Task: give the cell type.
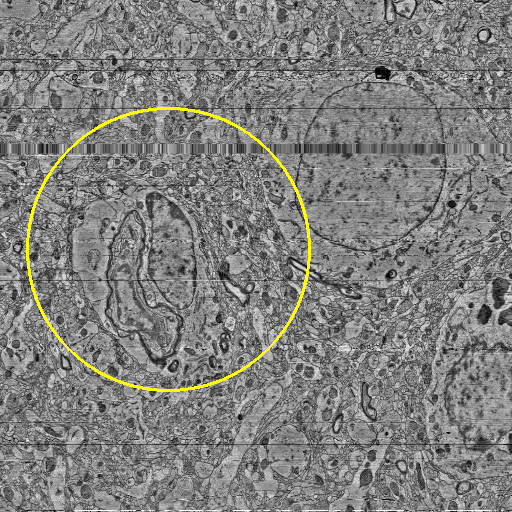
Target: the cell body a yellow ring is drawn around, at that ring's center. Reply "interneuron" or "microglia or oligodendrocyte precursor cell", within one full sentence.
In this picture, the cell whose body lies at the ring's center is a microglial cell or oligodendrocyte precursor cell.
